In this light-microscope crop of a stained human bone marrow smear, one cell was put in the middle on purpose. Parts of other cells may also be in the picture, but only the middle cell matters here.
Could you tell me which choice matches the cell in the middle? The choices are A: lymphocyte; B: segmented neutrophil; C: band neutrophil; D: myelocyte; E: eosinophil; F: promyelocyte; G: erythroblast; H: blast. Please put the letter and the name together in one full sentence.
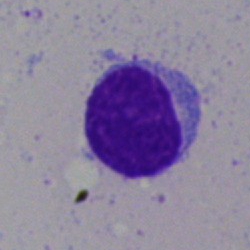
Option A is correct in that the central cell is a lymphocyte.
